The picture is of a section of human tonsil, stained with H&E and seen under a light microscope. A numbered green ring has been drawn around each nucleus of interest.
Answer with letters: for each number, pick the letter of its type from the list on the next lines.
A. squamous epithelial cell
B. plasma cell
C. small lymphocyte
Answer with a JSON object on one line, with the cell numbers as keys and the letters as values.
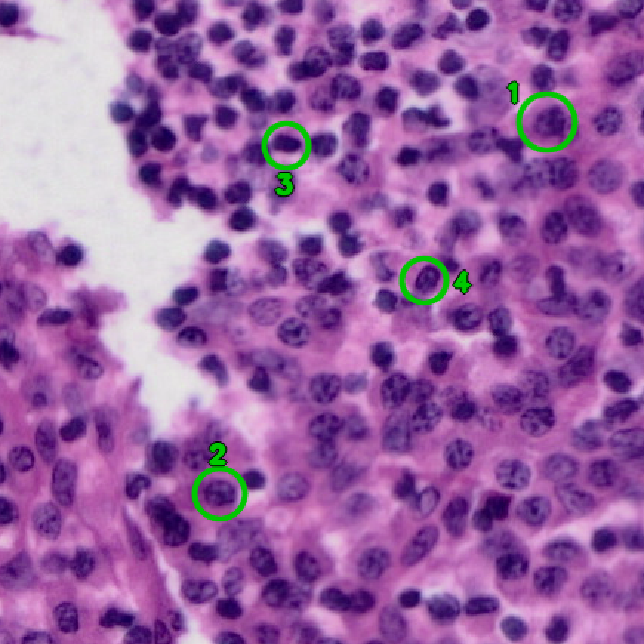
{"1": "B", "2": "B", "3": "C", "4": "B"}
